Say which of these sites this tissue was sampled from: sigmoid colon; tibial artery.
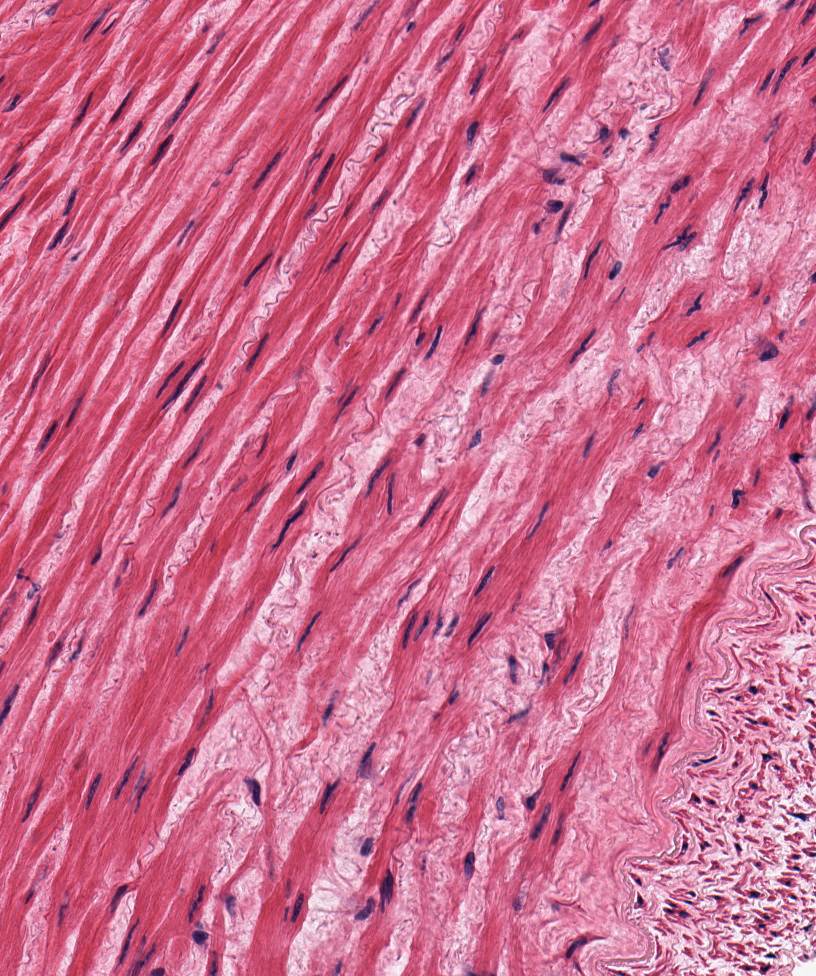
tibial artery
